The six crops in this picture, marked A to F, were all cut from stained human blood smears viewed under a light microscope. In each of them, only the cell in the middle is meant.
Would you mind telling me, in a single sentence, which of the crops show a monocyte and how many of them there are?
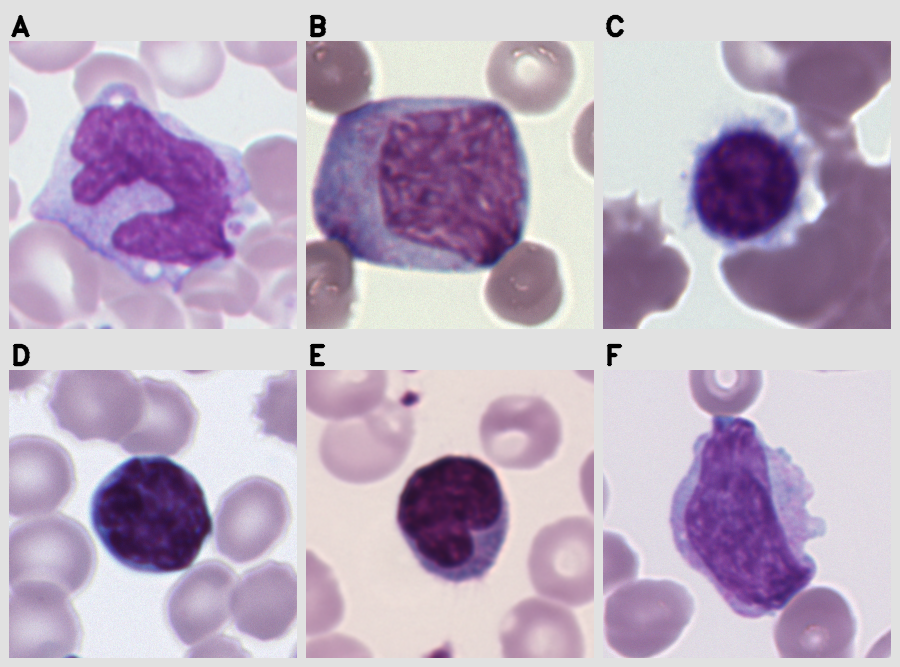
Among the crops, only crop A shows a monocyte.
